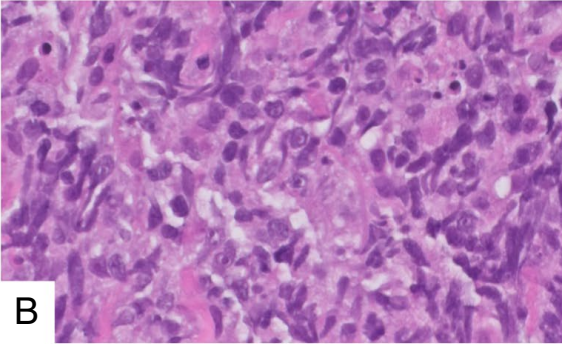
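The nuclei are big, irregular and often elongated or folded, with vesicular chromatin and some distinct nucleoli, and the cytoplasm is pale and ill-defined. No orderly architecture remains.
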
